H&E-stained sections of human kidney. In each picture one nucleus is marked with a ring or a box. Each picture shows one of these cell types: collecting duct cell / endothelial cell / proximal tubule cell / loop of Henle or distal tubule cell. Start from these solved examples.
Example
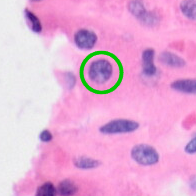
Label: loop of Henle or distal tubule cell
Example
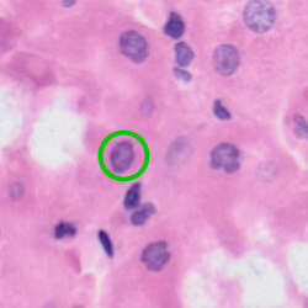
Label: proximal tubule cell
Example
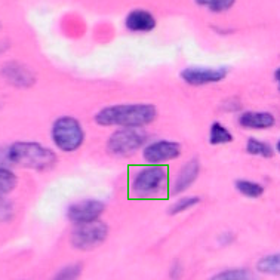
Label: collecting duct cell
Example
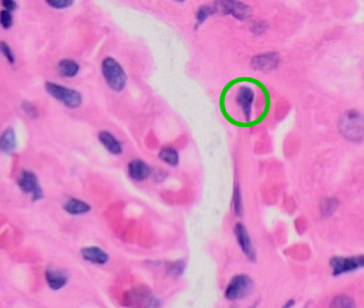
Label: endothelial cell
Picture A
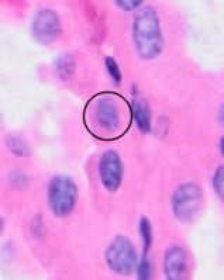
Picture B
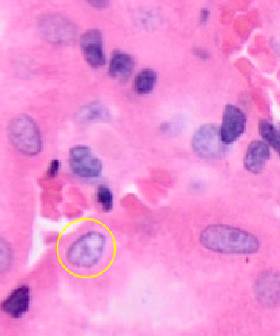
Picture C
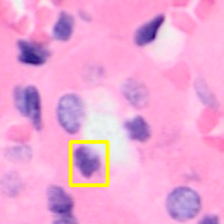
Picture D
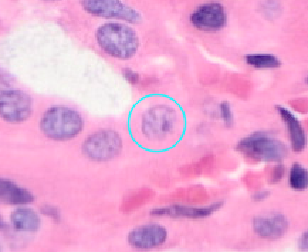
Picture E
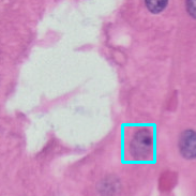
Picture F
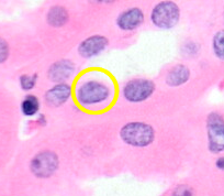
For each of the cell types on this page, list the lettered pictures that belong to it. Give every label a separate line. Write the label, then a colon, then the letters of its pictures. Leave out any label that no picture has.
collecting duct cell: F
proximal tubule cell: B, E
loop of Henle or distal tubule cell: A, C, D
